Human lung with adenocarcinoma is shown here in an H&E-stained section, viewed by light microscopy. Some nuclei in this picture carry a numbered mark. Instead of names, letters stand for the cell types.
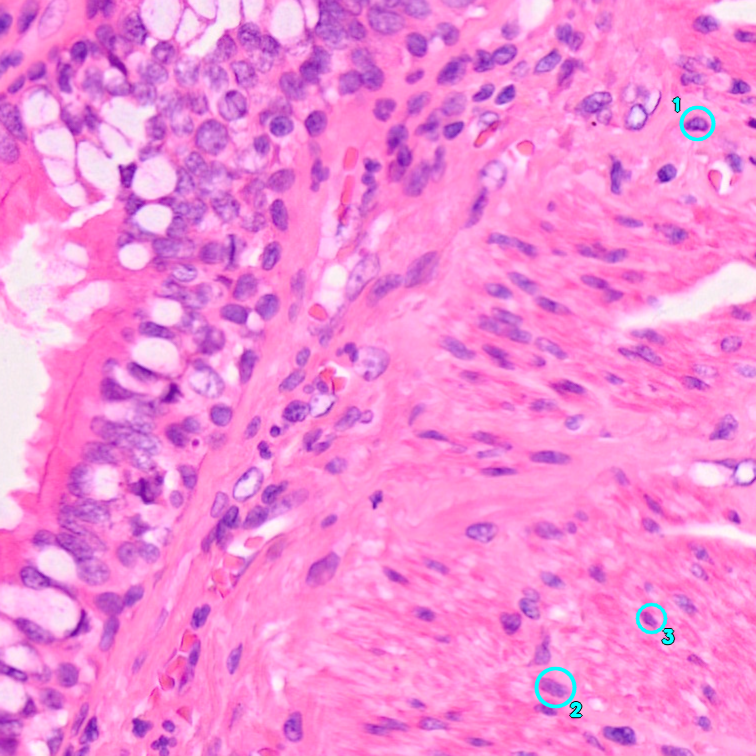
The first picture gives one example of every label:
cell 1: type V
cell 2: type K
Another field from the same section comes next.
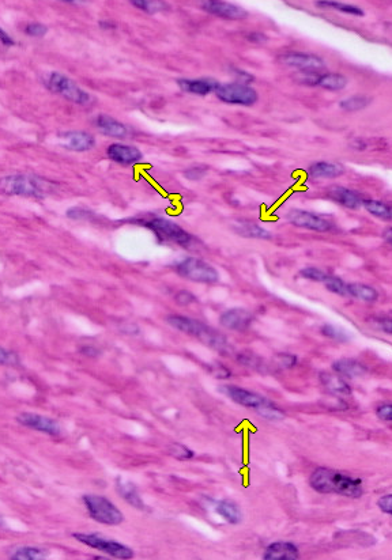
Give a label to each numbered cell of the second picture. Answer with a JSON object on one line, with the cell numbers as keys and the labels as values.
{"1": "type K", "2": "type K", "3": "type V"}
